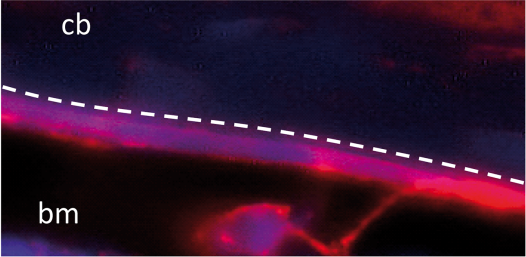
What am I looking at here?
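This shows cortical bone above and bone marrow below, with the bone surface marked by a dashed line. Just beneath the line runs a continuous, brightly red band of flattened lining cells along the bone. Faint blue nuclei can be made out within this band.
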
